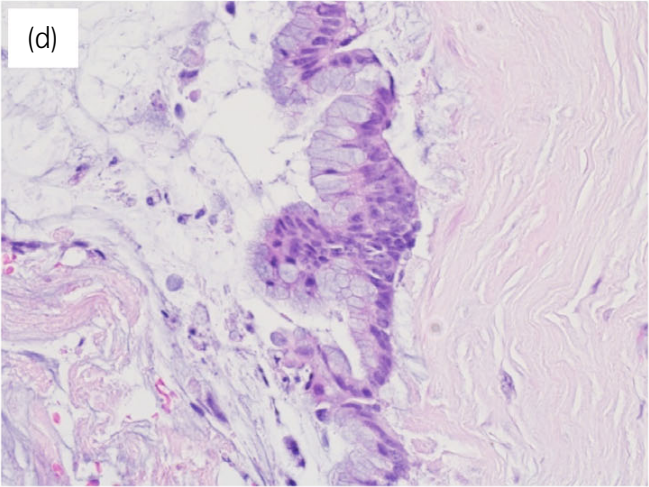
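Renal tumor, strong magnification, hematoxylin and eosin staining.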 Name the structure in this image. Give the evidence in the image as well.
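Mucinous epithelial lining with mild‐to‐moderate atypia. Tall columnar cells with pale, clear-to-bubbly cytoplasm line a band of pink fibrous tissue. Nuclei are enlarged and crowded, some stacked, and stain dark purple. Pale bluish stringy material lies on the free surface of the cells.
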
